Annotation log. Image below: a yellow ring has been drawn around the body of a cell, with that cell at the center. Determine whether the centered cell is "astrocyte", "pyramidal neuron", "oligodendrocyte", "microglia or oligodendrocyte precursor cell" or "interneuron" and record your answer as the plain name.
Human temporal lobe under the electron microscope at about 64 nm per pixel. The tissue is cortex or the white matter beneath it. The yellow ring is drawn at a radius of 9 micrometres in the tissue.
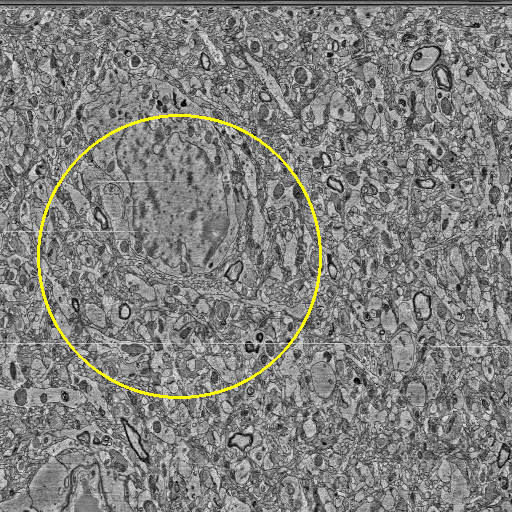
interneuron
